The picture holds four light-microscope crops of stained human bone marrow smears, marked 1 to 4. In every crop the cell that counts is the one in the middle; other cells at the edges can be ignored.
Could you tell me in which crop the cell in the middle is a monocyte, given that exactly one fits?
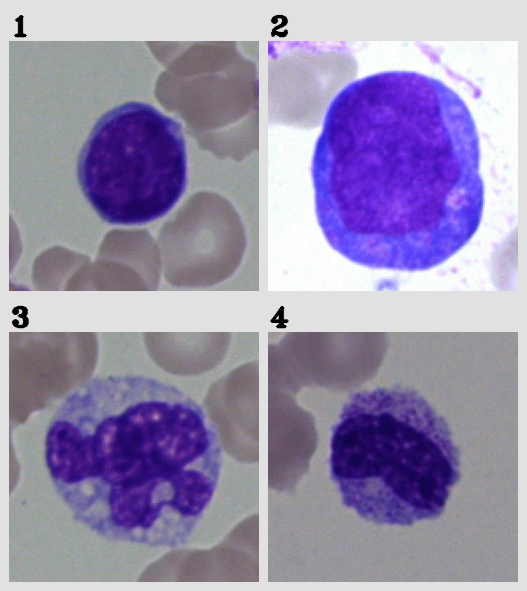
3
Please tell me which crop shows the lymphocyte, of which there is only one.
1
